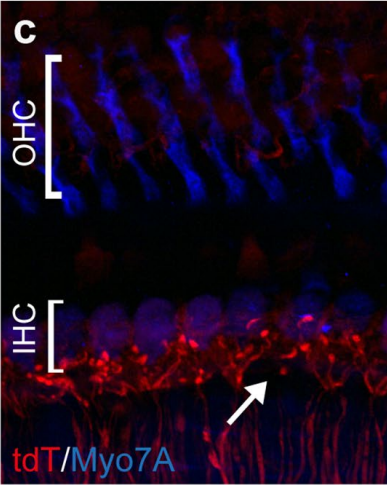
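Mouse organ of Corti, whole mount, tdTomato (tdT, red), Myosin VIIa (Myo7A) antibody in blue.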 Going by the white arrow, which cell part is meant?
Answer: bouton endings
